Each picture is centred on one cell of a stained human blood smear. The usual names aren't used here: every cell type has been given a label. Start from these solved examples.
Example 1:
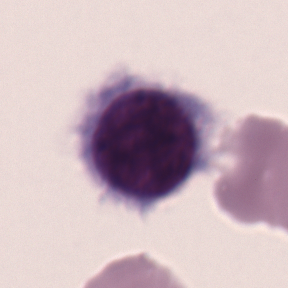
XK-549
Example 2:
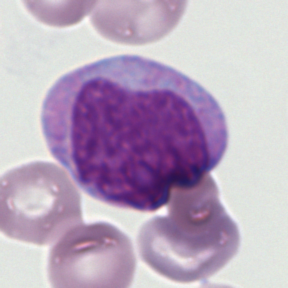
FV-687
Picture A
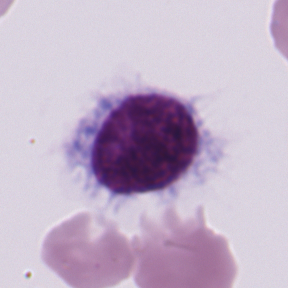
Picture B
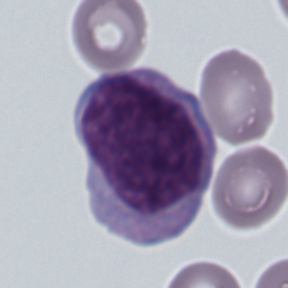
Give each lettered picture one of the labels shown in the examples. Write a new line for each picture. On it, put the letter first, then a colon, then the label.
A: XK-549
B: FV-687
